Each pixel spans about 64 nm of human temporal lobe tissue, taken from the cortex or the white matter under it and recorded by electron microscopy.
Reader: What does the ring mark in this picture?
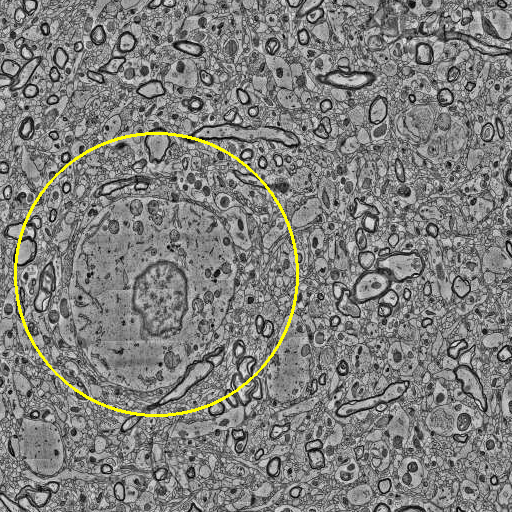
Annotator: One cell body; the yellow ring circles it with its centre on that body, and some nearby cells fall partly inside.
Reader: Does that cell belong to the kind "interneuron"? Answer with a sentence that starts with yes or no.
No, the cell at the ring's centre in this picture is of another kind.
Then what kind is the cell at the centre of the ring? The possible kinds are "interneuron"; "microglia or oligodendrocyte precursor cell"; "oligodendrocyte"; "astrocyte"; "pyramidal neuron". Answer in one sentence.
The answer is that the ringed cell is a pyramidal neuron.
